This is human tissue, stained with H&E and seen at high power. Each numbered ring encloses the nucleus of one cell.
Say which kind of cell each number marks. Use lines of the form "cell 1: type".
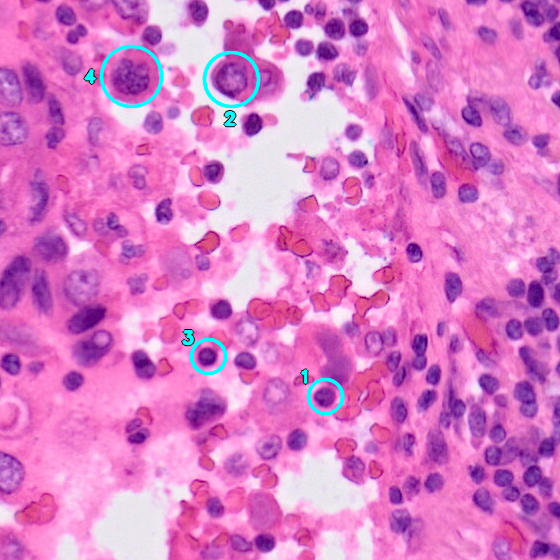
cell 1: lymphocyte
cell 2: carcinoma cell
cell 3: lymphocyte
cell 4: carcinoma cell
